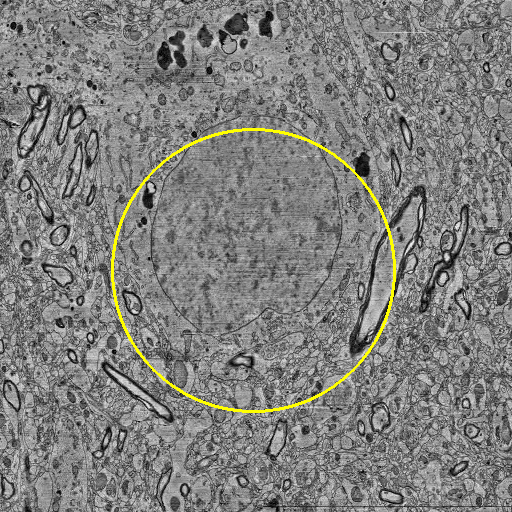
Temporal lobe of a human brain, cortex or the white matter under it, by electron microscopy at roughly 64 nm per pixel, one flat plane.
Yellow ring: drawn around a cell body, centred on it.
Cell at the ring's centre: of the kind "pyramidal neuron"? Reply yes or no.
yes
